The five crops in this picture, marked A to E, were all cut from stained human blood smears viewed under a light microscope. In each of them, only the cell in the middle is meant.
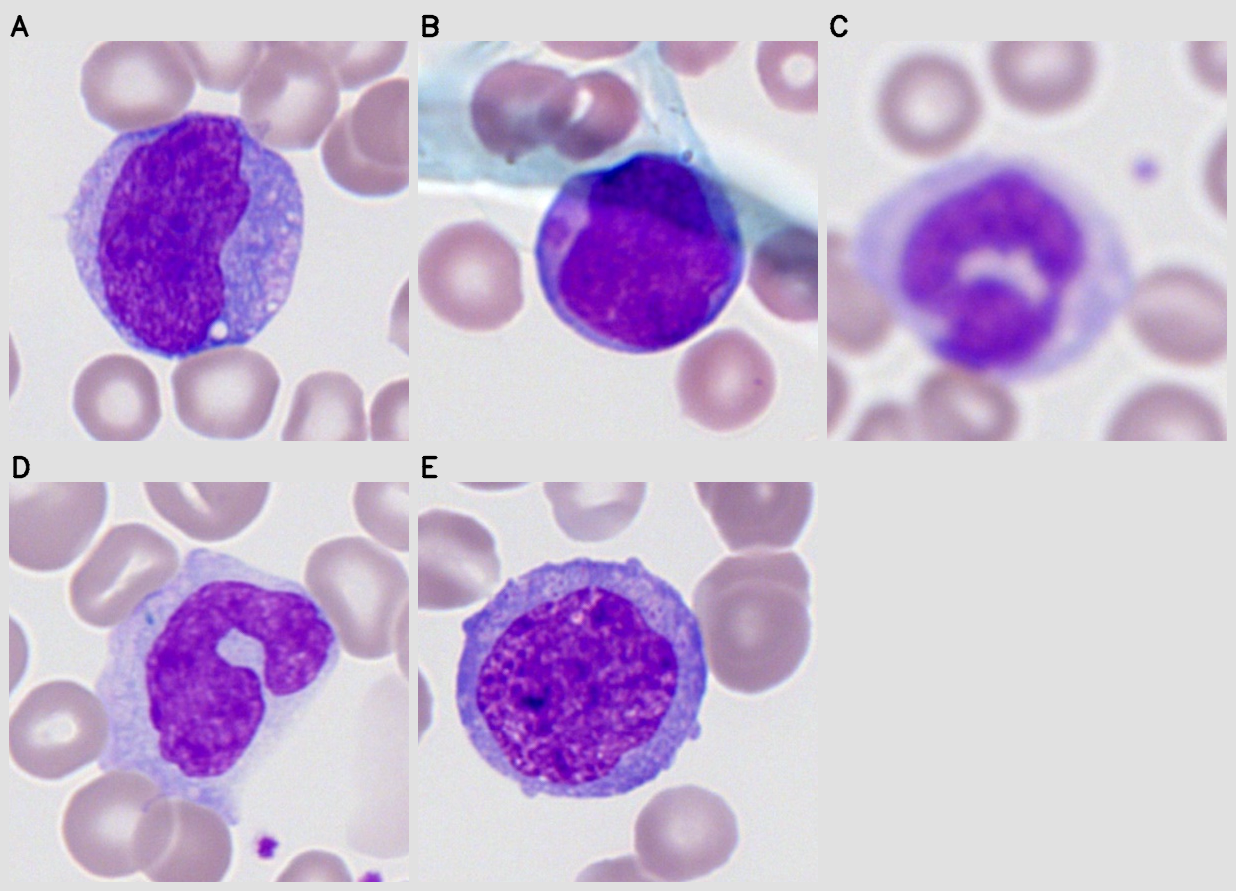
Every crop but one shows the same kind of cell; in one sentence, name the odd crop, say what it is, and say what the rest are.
Among the crops, crop B is unique in showing a myeloblast; the others show monocytes.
